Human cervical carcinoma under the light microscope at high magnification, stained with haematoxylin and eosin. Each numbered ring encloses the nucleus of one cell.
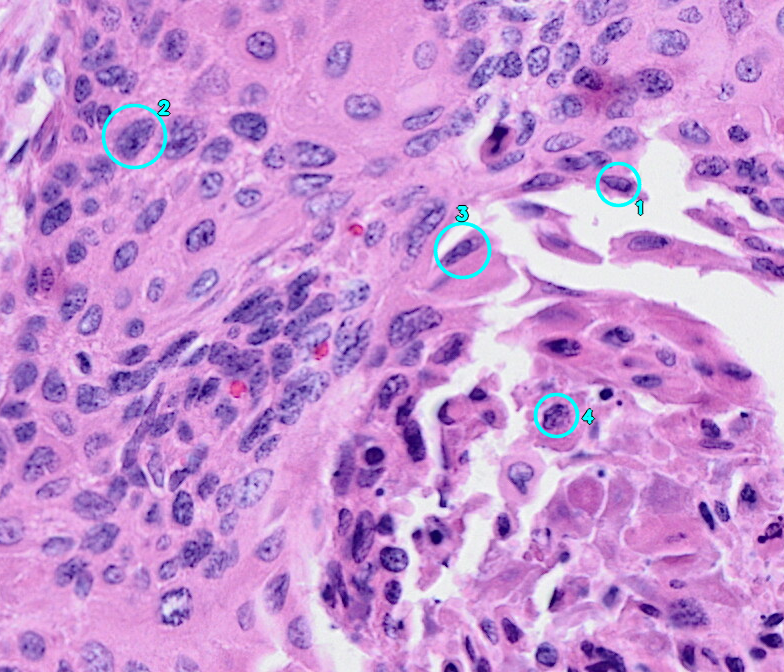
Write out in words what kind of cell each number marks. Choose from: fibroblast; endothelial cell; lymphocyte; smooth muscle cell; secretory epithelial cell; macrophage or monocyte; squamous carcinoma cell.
Cell 1 is a squamous carcinoma cell, cell 2 is a squamous carcinoma cell, cell 3 is a squamous carcinoma cell and cell 4 is a macrophage or monocyte.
